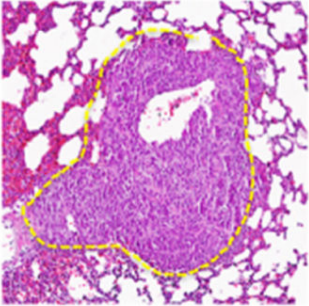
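The nodule is far more cellular than the surrounding lung, whose alveolar walls are thin and whose air spaces are wide. A small irregular cleft containing a few red blood cells lies within the mass.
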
